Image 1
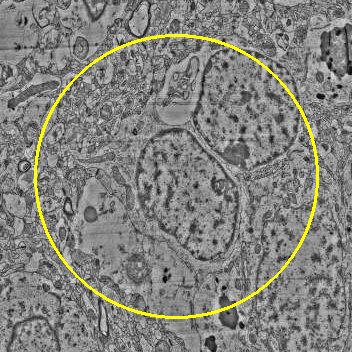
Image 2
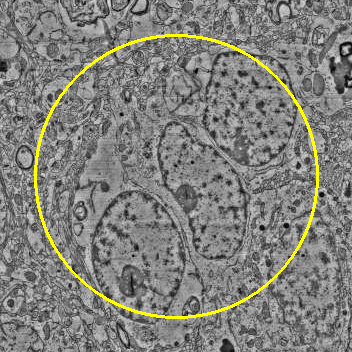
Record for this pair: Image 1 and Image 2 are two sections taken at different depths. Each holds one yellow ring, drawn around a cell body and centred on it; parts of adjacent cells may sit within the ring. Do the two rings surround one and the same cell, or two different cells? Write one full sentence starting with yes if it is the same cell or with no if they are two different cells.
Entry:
Yes, the two marked outlines come from one and the same cell.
